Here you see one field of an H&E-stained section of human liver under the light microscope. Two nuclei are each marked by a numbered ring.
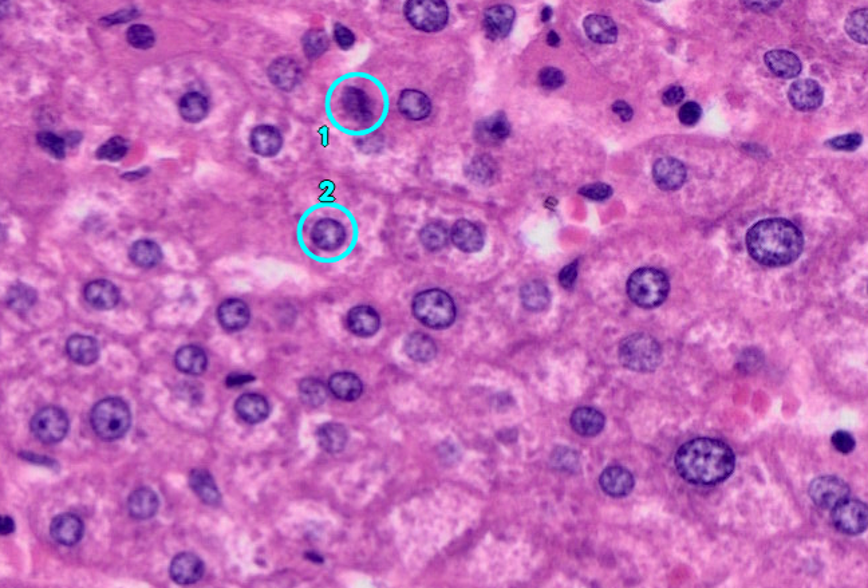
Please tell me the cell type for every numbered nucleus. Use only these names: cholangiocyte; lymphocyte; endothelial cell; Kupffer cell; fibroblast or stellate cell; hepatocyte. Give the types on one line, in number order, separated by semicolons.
fibroblast or stellate cell; hepatocyte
